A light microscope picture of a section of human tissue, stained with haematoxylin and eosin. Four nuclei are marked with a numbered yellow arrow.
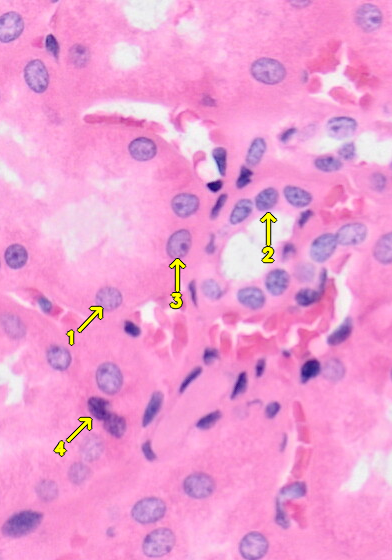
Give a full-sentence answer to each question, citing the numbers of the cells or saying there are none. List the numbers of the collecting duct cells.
Only the cell marked 2 is a collecting duct cell.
